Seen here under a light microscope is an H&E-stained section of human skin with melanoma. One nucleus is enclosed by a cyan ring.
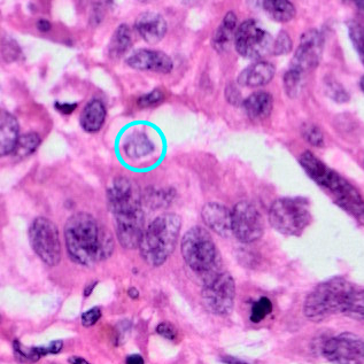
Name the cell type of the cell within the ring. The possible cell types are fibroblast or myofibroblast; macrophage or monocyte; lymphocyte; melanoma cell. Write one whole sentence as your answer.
The cell type of the cell within the ring is that of a macrophage or monocyte.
